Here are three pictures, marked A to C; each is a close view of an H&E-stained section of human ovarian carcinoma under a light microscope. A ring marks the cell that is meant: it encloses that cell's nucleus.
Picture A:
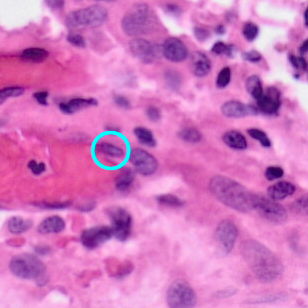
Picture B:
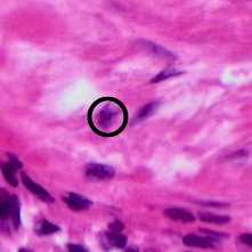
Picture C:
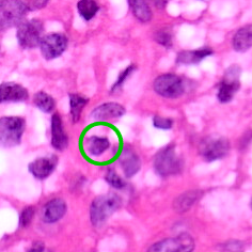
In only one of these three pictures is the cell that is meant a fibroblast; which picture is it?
B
